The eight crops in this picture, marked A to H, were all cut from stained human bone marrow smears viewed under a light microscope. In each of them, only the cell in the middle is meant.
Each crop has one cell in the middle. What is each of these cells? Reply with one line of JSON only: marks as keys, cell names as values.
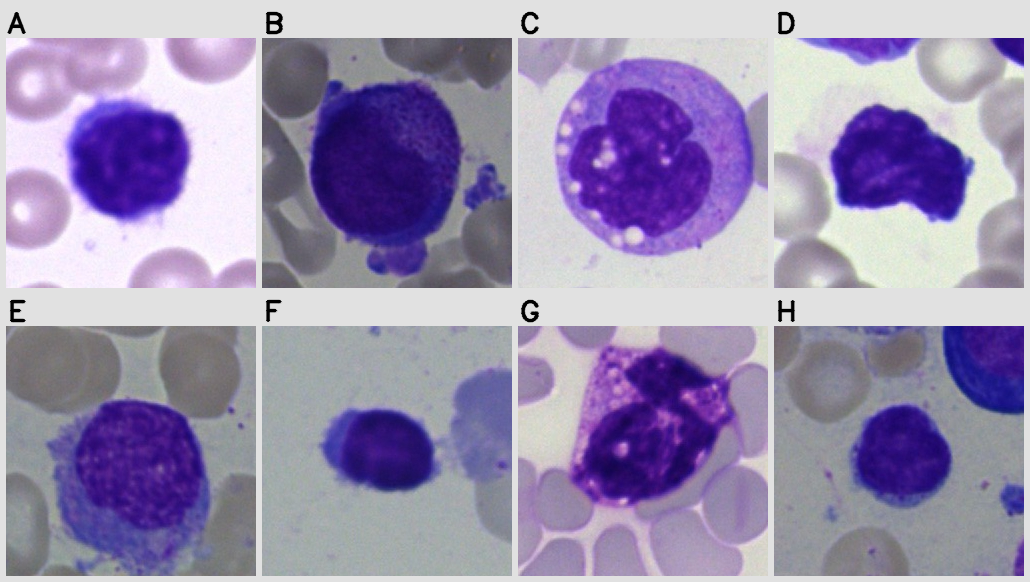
{"A": "lymphocyte", "B": "blast", "C": "monocyte", "D": "blast", "E": "monocyte", "F": "lymphocyte", "G": "basophil", "H": "lymphocyte"}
